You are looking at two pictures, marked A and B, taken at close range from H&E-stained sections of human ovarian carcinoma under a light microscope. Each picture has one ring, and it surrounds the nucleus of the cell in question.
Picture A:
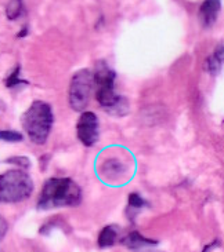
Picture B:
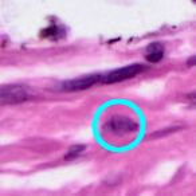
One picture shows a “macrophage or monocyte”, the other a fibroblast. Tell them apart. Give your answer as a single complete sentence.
Picture A is of a “macrophage or monocyte”, and picture B is of a fibroblast.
